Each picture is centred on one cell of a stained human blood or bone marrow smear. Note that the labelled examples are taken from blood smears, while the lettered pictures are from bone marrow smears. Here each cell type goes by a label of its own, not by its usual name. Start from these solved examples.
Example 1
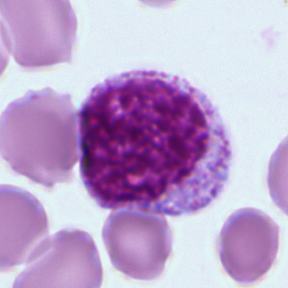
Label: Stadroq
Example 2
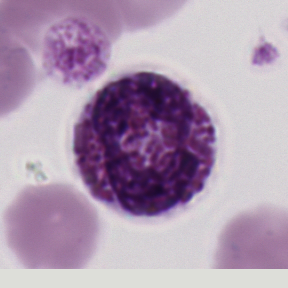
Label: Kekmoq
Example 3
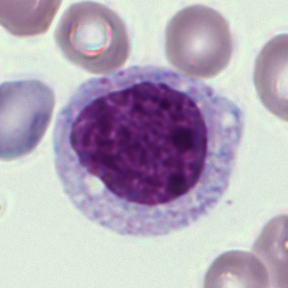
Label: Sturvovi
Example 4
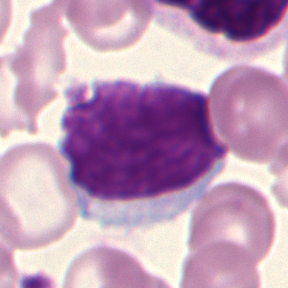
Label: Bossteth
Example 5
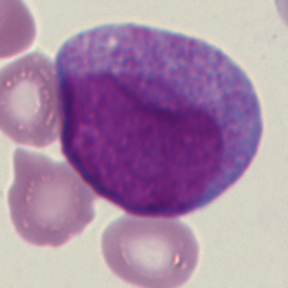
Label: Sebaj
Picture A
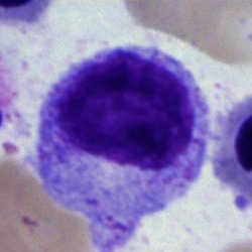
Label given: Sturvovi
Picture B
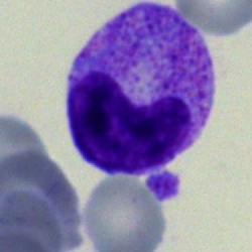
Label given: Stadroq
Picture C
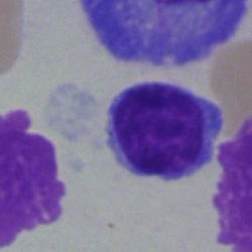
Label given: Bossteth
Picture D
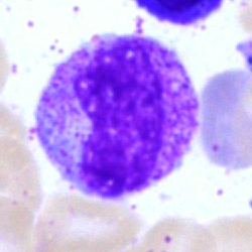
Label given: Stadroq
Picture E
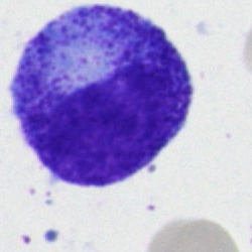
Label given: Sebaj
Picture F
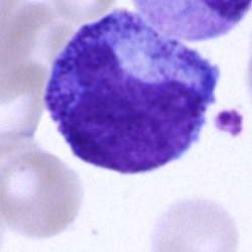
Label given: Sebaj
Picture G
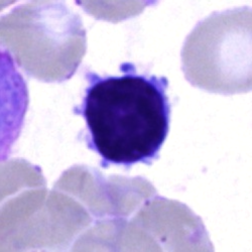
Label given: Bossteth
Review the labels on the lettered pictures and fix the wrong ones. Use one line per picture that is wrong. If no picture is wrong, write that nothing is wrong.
All labels are correct.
